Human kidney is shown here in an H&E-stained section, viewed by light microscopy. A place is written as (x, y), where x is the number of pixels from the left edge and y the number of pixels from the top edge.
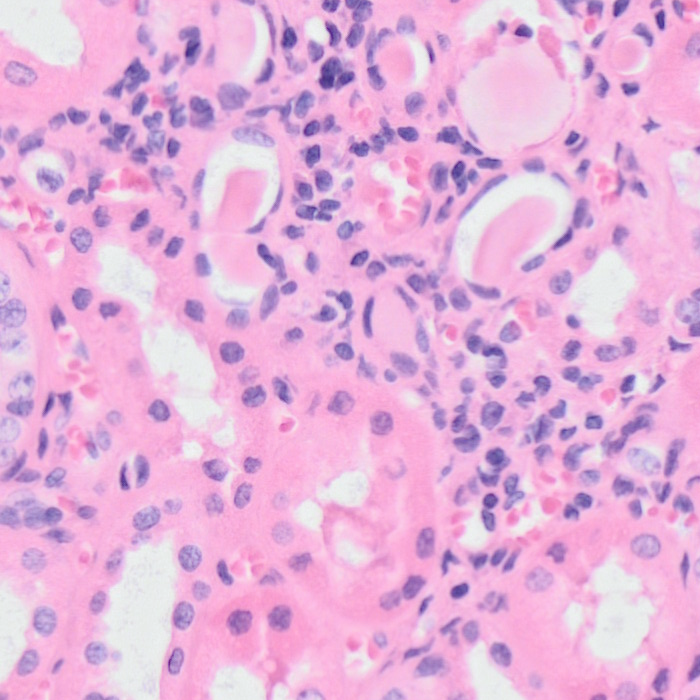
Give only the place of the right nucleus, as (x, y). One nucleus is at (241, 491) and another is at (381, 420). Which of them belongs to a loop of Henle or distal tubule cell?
(241, 491)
